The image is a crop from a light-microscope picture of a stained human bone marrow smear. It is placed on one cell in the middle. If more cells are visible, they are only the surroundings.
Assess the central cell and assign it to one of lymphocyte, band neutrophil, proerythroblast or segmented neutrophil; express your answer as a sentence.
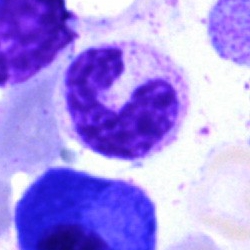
As for the central cell, it is a band neutrophil.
